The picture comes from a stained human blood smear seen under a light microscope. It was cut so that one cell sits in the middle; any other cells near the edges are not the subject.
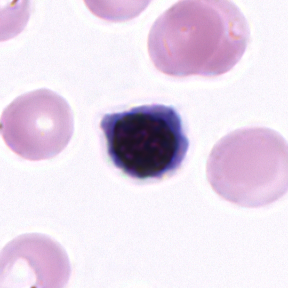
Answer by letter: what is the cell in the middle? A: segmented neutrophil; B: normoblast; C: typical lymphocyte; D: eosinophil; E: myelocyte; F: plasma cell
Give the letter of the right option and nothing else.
B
